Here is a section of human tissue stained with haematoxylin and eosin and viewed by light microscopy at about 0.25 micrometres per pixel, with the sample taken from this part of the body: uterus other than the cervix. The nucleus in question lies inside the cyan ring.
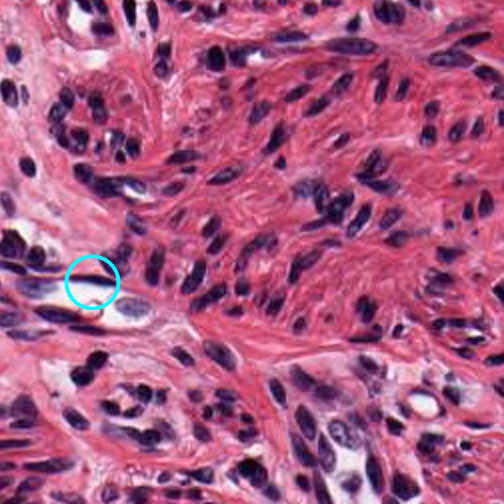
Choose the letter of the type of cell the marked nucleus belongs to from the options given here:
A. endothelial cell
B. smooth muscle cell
A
